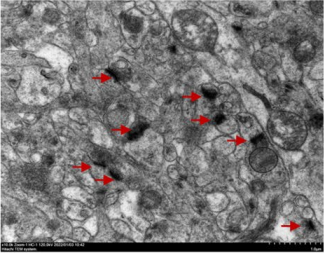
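The field is a dense mosaic of small rounded and irregular membrane-bound profiles of axons and dendrites, several containing round or oval mitochondria with dark cristae. Scattered through the field are small, very dark electron-dense patches lying along membranes where two profiles meet; these are the synaptic contacts, each marked by an arrow. Some profiles are pale and nearly empty, others granular. No cell bodies or nuclei are in view.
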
